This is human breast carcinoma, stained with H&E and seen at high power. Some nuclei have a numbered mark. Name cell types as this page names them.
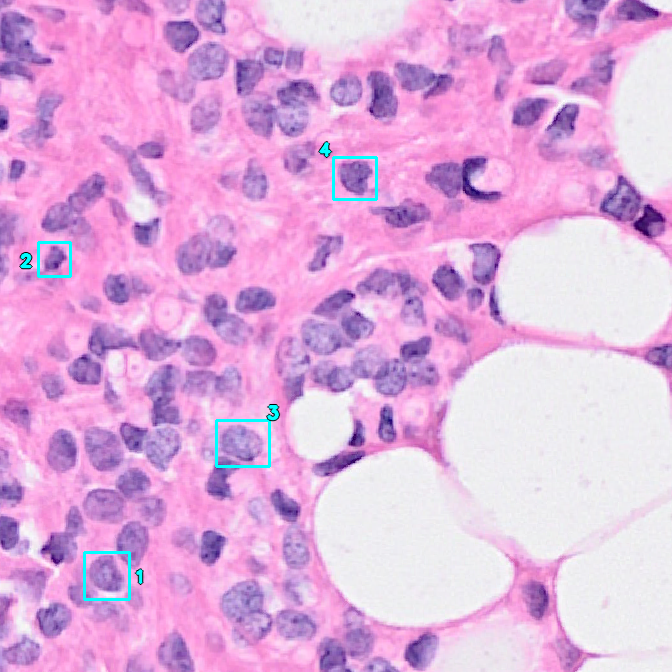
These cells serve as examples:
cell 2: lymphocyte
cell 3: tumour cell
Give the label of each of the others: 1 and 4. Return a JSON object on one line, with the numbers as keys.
{"1": "tumour cell", "4": "tumour cell"}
